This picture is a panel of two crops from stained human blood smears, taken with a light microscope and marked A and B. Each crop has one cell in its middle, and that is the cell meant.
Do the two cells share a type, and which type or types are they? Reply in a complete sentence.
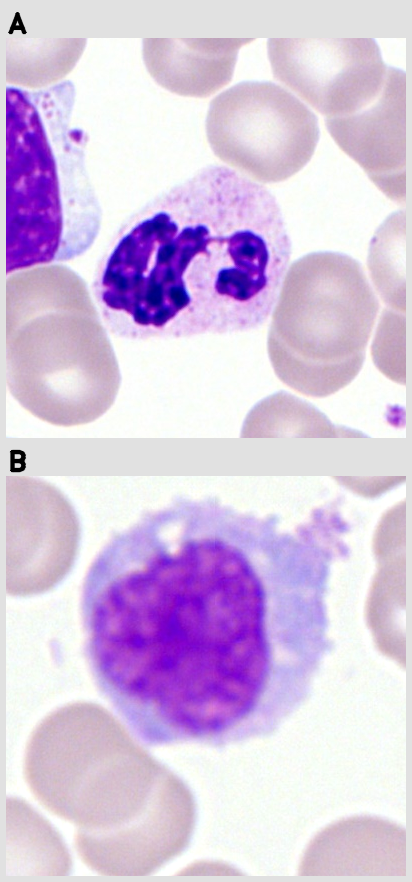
No, the cells are a segmented neutrophil in crop A and a monocyte in crop B.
